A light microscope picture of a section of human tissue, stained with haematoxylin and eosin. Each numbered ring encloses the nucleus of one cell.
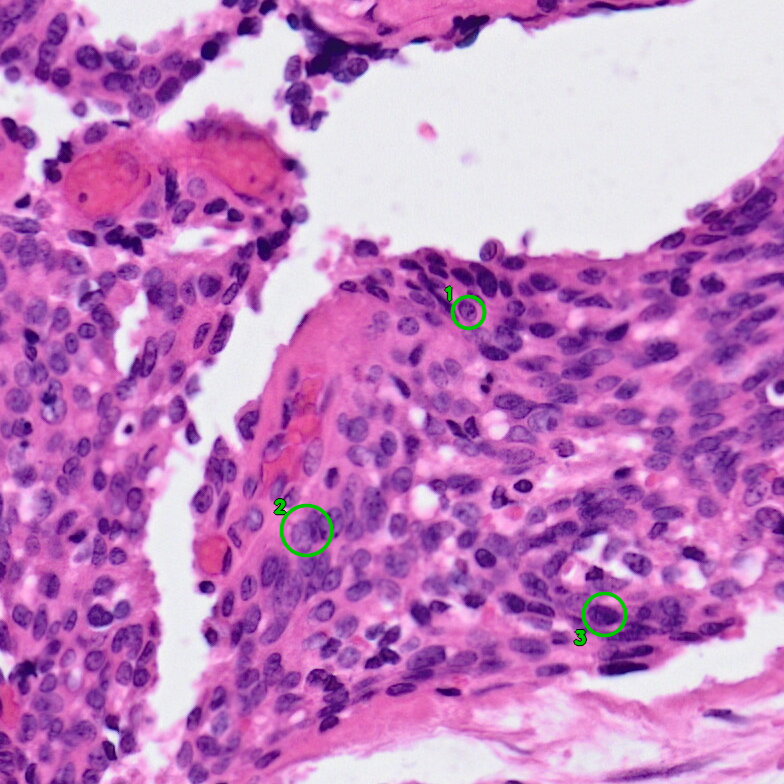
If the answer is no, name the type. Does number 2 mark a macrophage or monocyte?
No, it is a carcinoma cell.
